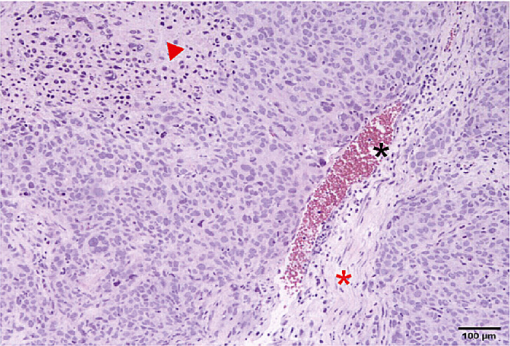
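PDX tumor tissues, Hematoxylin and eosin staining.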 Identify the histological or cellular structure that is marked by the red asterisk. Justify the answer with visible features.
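The asterisk lies in a pale pink, fibrous area with few nuclei. This area runs beside the blood-filled channel.
Conclusion: collagenous components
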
